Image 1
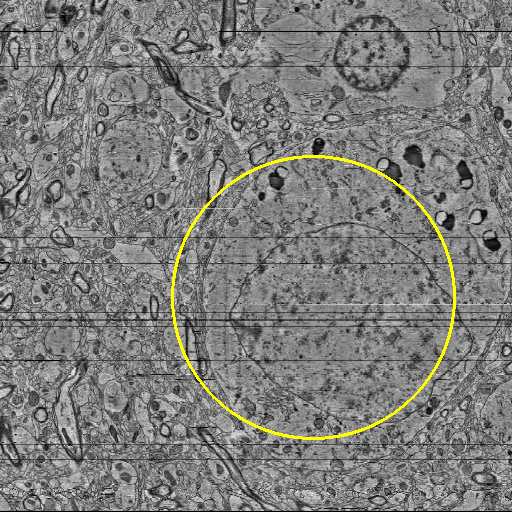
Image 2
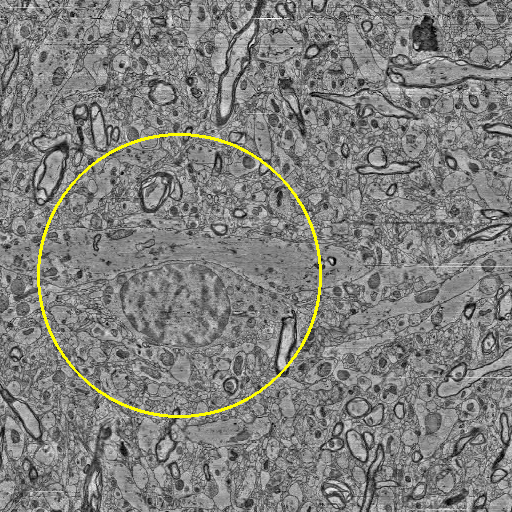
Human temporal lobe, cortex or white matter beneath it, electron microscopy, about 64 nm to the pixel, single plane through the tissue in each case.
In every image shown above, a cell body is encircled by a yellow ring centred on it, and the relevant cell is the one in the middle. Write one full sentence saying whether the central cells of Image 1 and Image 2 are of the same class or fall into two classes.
The cell at the ring's centre in Image 1 and its counterpart in Image 2 fall into two classes.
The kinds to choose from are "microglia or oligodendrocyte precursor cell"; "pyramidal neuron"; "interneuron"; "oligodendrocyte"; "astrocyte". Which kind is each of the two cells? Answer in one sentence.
Of the two, the first cell is a pyramidal neuron and the second cell is an oligodendrocyte.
